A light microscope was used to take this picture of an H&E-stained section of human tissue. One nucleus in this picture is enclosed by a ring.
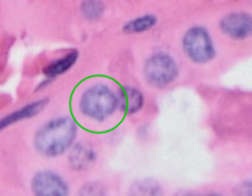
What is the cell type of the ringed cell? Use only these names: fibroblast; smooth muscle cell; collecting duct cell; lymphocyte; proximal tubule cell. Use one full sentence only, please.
On this particular slide, the ringed cell is a collecting duct cell.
